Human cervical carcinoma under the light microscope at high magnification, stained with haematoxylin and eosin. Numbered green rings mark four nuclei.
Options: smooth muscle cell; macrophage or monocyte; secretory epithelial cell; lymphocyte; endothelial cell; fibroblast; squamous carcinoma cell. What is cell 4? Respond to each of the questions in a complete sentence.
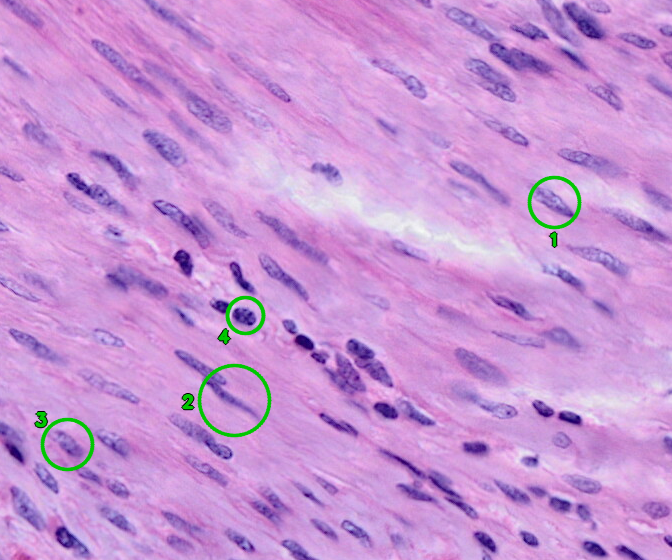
Identified by the number 4, the cell is a lymphocyte.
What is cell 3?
The cell tagged with 3 in this tissue section is a smooth muscle cell.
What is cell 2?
The cell marked with number 2 is a fibroblast.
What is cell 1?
The cell referenced by the number 1 is a fibroblast in this field.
